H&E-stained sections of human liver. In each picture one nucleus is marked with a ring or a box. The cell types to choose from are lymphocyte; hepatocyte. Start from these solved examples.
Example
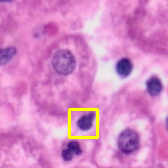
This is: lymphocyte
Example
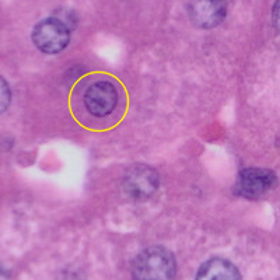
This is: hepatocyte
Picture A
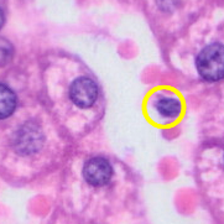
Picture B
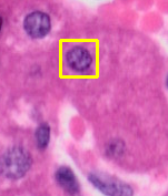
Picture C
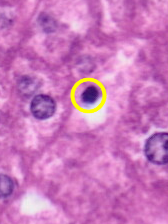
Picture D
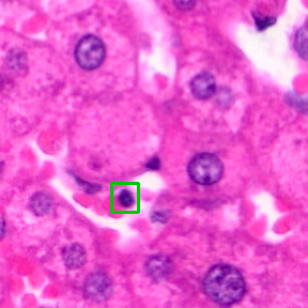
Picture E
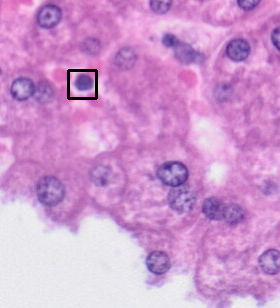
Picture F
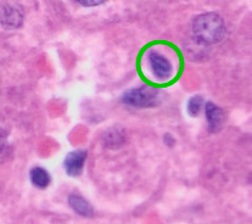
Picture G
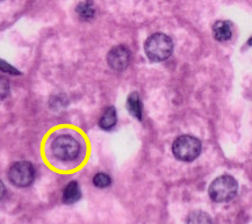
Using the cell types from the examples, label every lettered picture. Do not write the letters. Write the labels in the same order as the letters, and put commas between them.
lymphocyte, hepatocyte, lymphocyte, lymphocyte, lymphocyte, lymphocyte, hepatocyte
